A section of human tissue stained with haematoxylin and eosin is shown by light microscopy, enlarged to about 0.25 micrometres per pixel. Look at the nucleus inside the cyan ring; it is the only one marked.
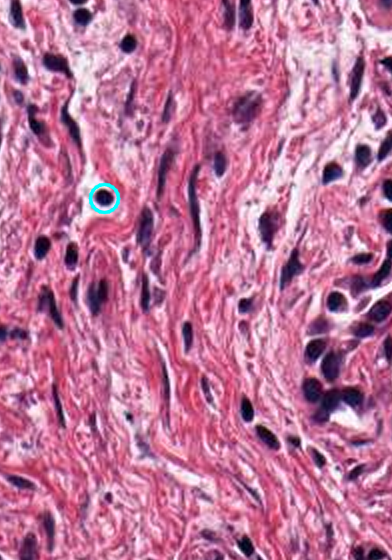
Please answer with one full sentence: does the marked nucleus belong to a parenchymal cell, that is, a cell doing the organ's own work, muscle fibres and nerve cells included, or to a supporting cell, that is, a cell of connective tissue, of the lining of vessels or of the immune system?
The marked nucleus belongs to a supporting cell.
